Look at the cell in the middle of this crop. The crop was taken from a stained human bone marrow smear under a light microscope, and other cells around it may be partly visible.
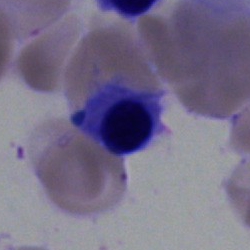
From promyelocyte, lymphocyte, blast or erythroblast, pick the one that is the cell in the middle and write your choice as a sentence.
Where the crop is centred, there is an erythroblast.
